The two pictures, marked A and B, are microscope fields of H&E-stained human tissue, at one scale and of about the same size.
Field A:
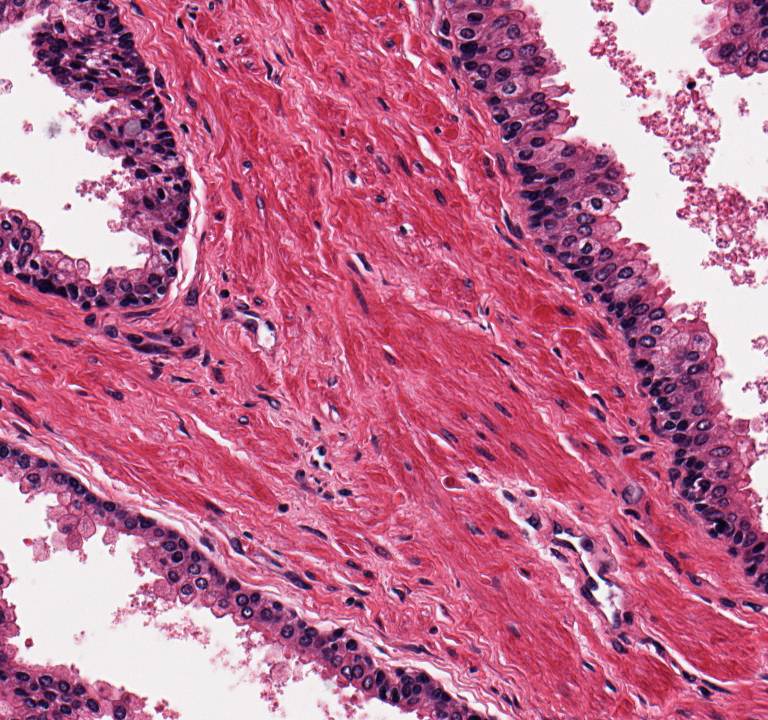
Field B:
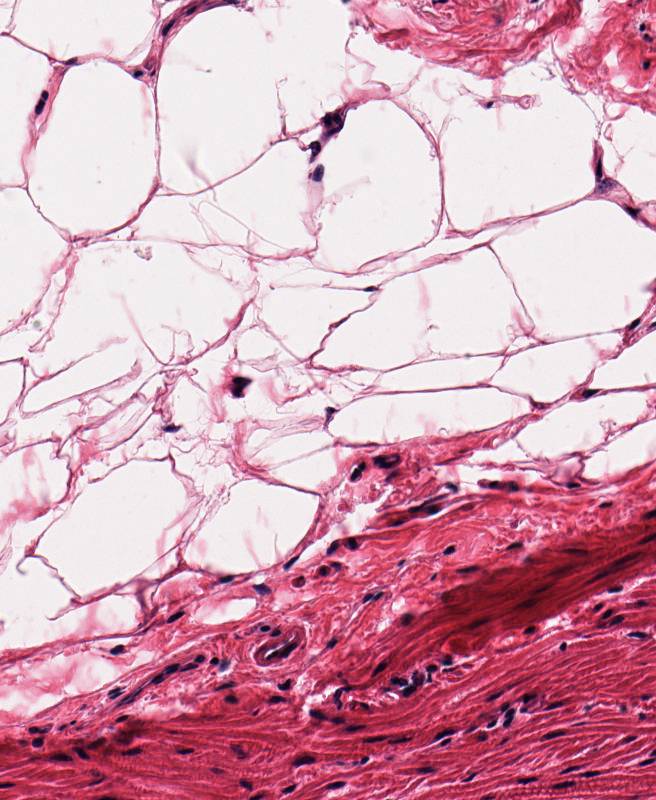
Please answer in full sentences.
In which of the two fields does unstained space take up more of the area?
More of field B is empty and white.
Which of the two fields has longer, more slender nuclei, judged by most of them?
It is field B whose nuclei are the more elongated.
